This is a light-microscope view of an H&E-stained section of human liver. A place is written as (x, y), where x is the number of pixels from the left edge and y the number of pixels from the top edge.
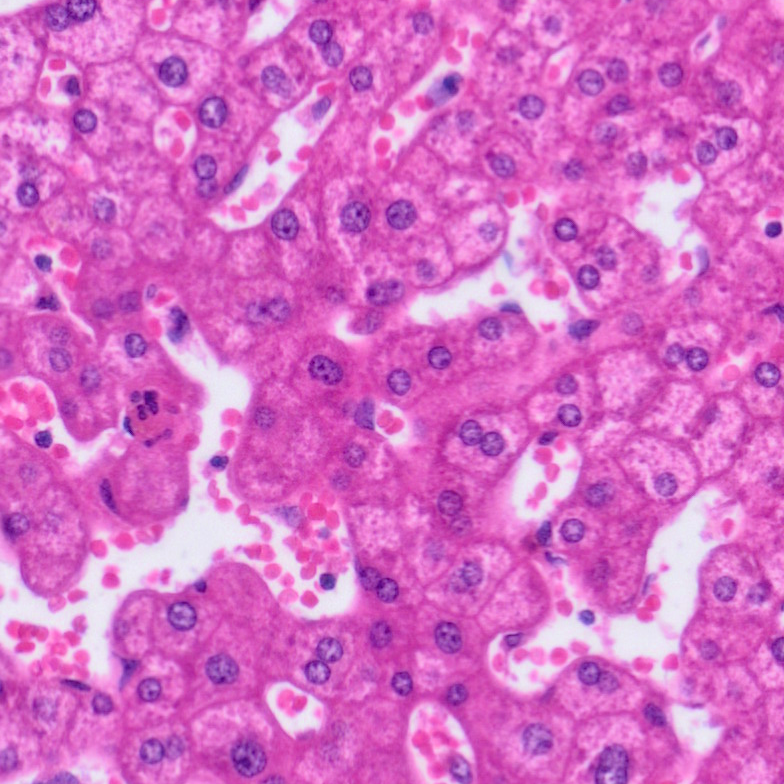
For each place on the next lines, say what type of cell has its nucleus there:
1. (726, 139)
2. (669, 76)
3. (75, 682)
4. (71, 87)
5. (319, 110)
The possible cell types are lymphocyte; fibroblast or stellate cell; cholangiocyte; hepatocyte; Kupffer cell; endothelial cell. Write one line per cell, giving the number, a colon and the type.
1: hepatocyte
2: hepatocyte
3: fibroblast or stellate cell
4: Kupffer cell
5: Kupffer cell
